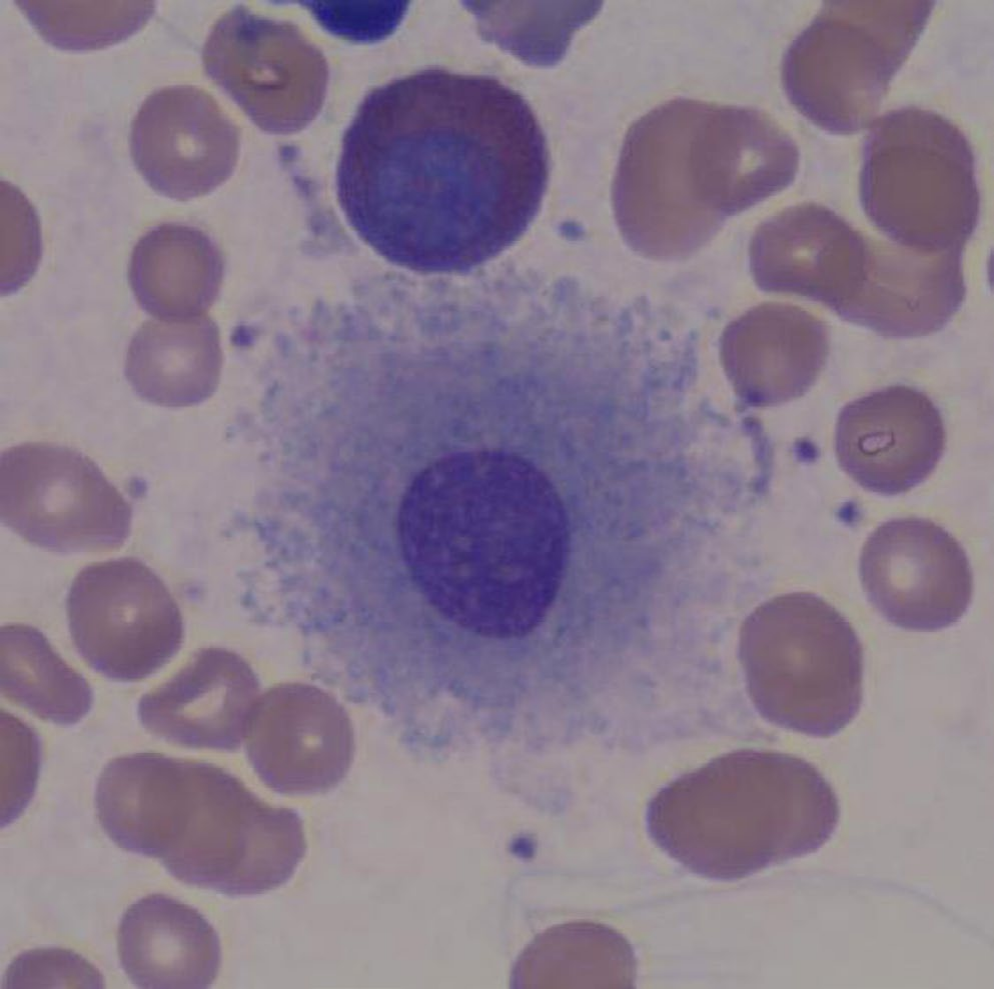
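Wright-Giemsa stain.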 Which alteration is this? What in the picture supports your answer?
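The large central cell has a single small, round, unlobed nucleus. The nucleus is small relative to the wide cytoplasm.
Answer: uninucleate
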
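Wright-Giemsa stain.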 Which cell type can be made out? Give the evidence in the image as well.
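Megakaryocyte. A central cell many times the diameter of the surrounding red cells. Abundant pale blue, finely granular cytoplasm with a ragged, frayed edge.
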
